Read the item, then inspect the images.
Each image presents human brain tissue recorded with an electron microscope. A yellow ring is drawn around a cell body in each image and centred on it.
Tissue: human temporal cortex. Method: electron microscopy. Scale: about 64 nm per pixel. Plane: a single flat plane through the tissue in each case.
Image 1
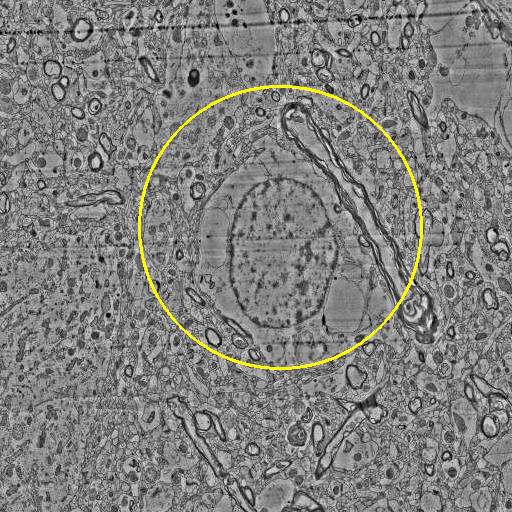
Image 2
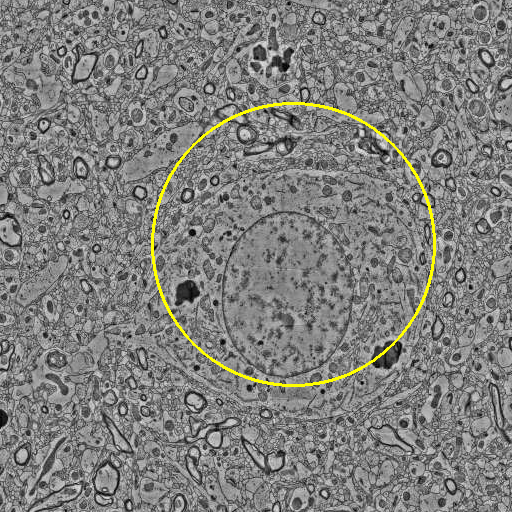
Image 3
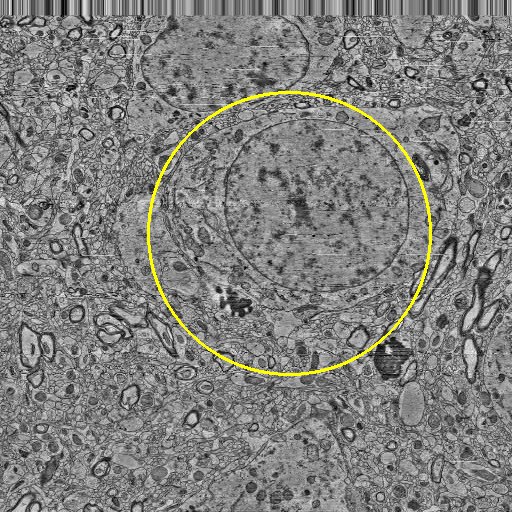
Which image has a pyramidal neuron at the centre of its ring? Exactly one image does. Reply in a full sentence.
The ring in Image 3 is centred on it.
